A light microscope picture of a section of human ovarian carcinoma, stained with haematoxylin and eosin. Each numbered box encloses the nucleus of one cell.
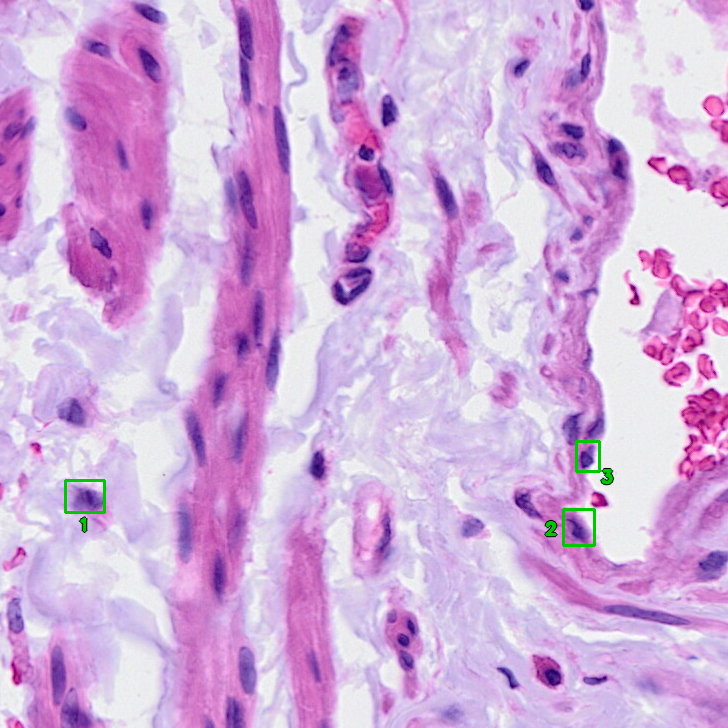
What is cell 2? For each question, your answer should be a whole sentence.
The cell bearing label 2 corresponds to an endothelial cell.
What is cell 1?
What the number 1 marks in this field is a fibroblast.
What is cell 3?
It is as an endothelial cell that the cell numbered 3 is identified.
